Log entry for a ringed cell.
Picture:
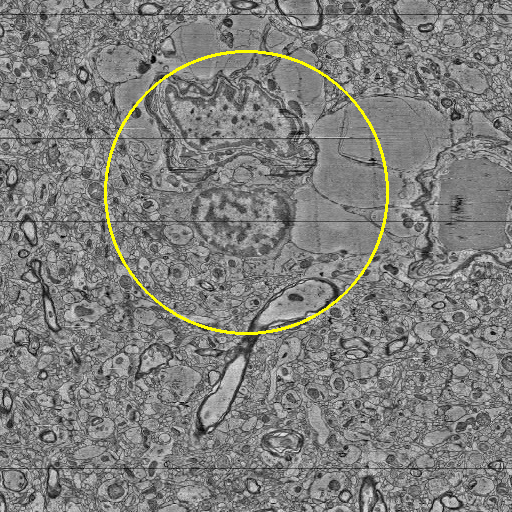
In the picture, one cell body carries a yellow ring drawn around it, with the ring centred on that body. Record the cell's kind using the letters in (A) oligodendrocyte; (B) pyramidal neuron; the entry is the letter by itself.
A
